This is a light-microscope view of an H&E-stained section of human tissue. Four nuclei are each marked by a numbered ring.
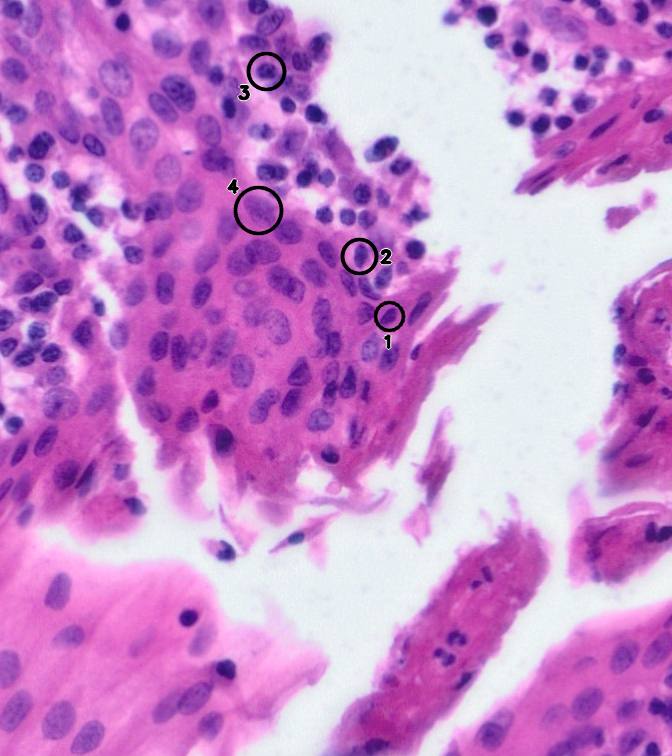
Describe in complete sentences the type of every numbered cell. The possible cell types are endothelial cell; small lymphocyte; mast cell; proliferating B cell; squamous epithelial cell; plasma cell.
Cells 1, 2 and 4 are squamous epithelial cells. Cell 3 is a plasma cell.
